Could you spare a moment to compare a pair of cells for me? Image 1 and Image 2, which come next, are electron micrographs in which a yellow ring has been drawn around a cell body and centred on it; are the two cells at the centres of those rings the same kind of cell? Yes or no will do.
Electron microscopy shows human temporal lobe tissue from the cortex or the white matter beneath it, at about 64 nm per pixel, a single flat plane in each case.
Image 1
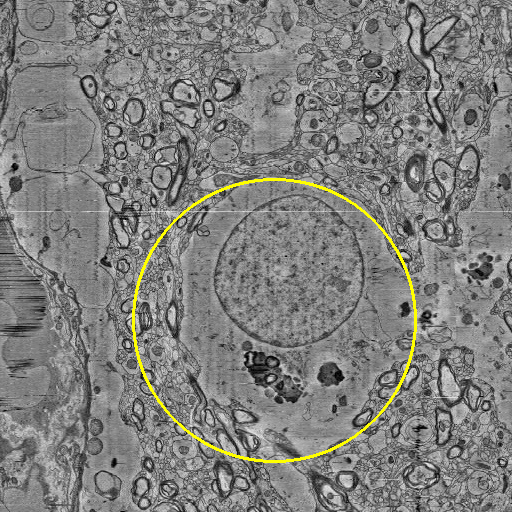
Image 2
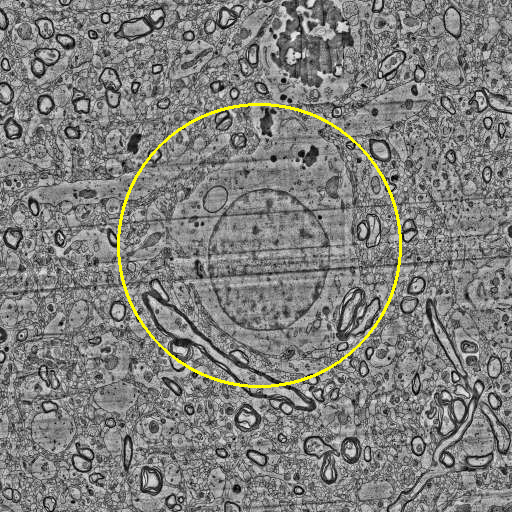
yes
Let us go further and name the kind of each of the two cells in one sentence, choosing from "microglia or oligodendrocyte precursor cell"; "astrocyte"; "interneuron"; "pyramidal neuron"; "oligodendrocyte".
Each one of the two ringed cells is an astrocyte.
